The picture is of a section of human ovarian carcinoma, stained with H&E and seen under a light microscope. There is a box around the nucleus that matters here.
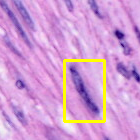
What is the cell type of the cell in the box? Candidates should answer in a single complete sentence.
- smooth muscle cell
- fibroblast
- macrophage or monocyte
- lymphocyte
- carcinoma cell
Students should answer that the cell in the box is a fibroblast.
